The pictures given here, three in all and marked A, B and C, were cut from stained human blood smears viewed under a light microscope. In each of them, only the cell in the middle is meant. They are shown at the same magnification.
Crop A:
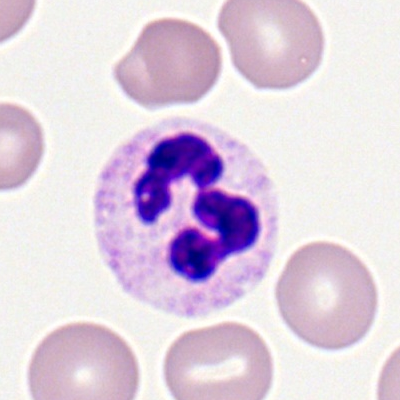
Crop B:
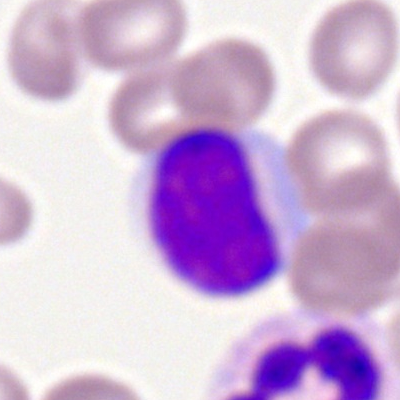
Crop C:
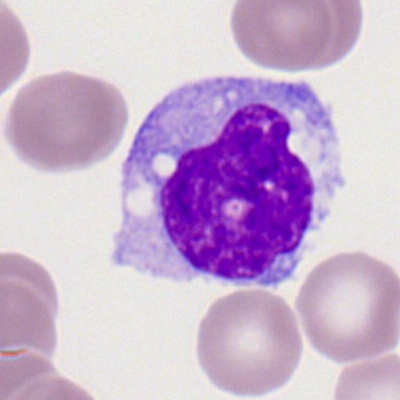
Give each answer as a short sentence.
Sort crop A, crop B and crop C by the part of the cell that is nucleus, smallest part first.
They run A, C, B, the least filled first.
